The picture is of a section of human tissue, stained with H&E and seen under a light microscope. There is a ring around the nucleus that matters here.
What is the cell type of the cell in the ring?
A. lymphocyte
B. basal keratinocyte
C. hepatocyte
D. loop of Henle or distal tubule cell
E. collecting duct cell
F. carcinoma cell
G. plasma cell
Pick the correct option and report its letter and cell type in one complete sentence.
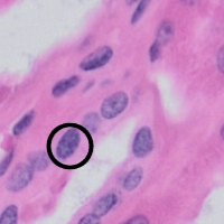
Option E names it right: the cell in the ring is a collecting duct cell.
